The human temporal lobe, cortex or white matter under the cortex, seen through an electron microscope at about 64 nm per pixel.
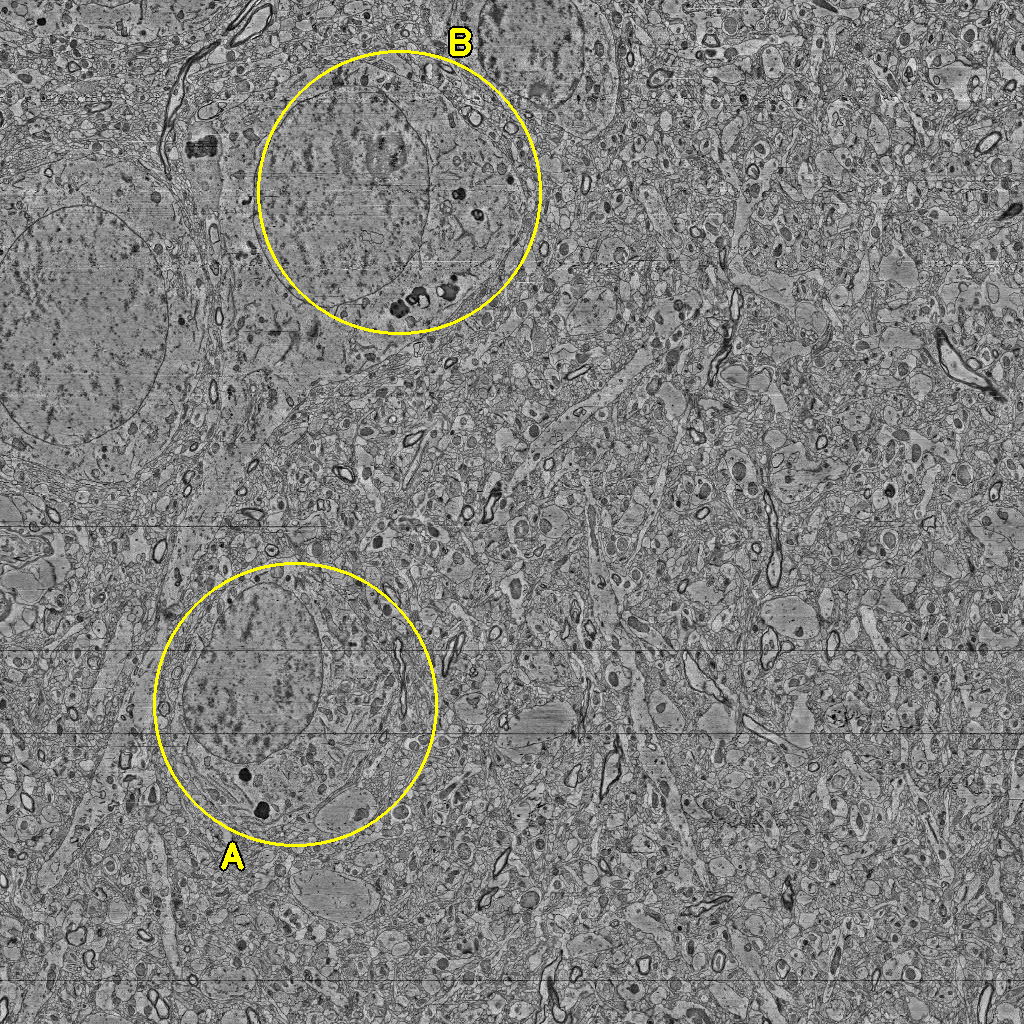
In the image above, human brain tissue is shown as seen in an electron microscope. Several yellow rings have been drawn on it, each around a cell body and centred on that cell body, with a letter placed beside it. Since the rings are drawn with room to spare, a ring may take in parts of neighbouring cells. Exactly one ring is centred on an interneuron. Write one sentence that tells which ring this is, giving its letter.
The ring marked A is centred on it.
